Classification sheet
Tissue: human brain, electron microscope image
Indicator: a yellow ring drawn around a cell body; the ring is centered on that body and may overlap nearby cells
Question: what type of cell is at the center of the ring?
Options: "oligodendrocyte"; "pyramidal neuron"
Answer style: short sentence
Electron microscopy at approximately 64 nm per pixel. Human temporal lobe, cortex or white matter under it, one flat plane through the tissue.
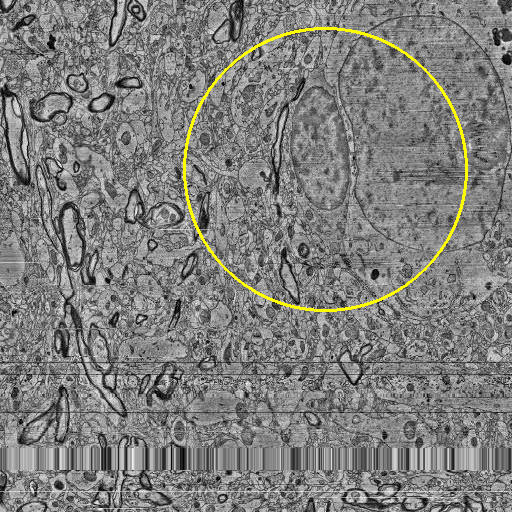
At the ring's center is an oligodendrocyte.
